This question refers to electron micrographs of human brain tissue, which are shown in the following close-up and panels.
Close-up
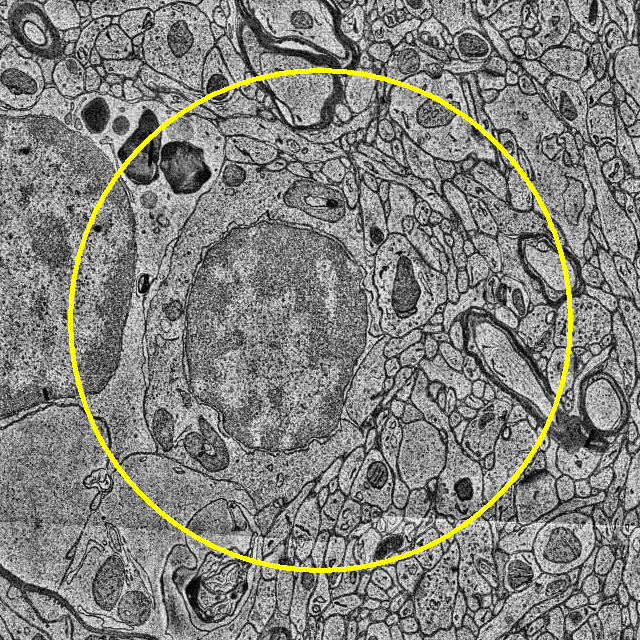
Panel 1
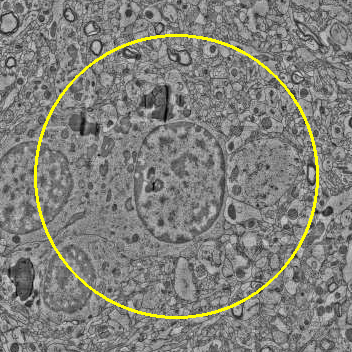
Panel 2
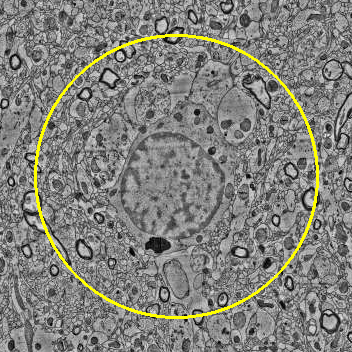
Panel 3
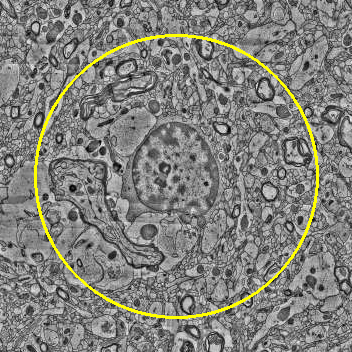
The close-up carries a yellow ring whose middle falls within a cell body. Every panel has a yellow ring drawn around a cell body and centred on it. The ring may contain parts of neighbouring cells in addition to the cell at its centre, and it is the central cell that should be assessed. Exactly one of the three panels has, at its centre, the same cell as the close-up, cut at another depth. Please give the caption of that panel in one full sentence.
The cell ringed in yellow within Panel 3 is the close-up cell.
